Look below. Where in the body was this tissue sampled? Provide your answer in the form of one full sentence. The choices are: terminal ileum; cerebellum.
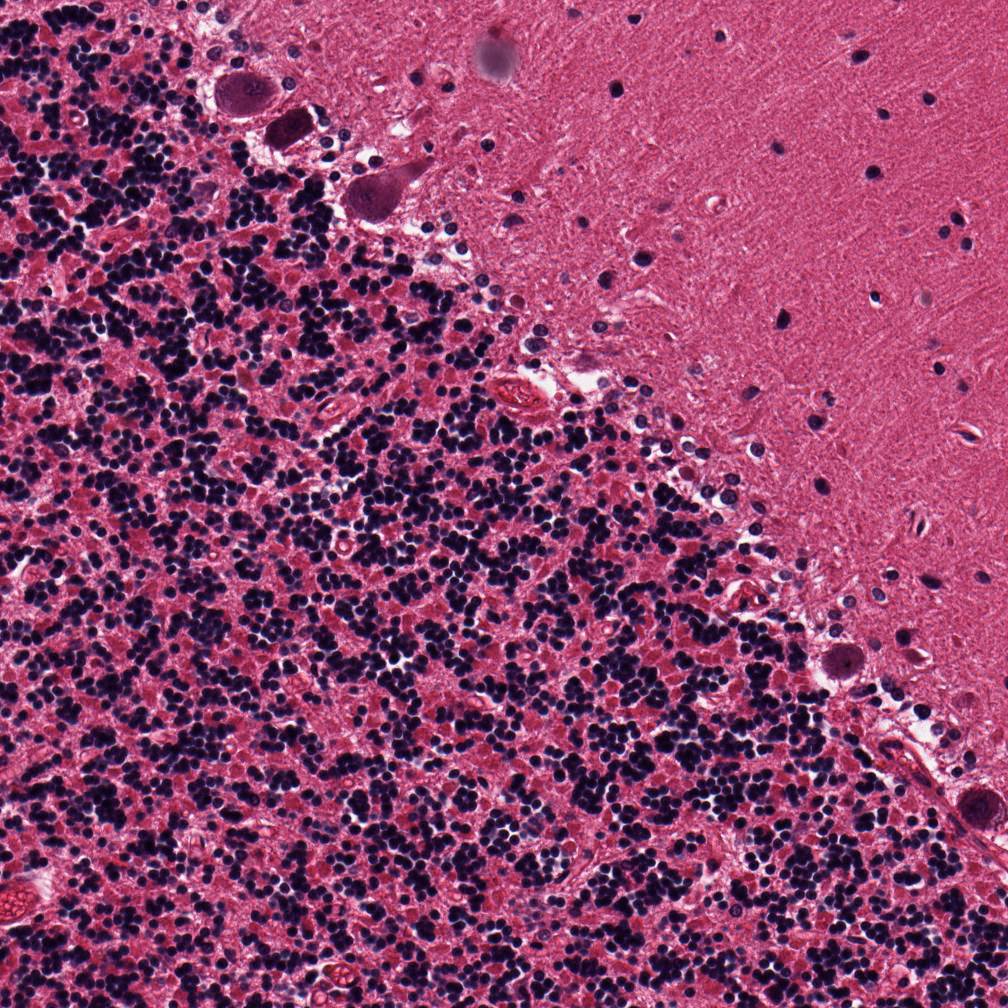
This histological section comes from the cerebellum.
